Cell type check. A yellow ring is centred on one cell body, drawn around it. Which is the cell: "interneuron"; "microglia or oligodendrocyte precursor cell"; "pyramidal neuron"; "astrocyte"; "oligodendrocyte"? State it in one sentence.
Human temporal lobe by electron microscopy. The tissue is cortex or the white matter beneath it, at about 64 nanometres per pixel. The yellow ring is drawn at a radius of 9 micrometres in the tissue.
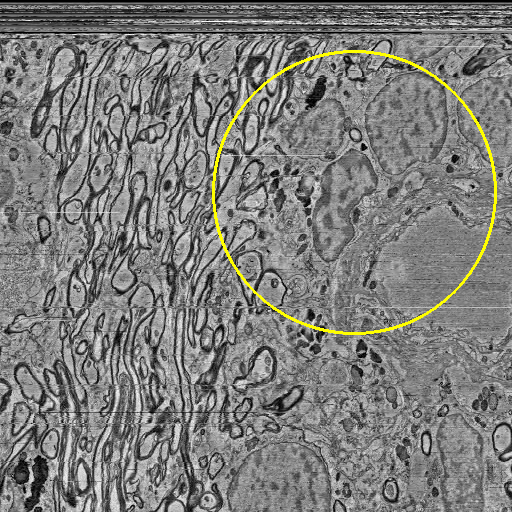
The cell body at the ring's centre belongs to a microglial cell or oligodendrocyte precursor cell.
